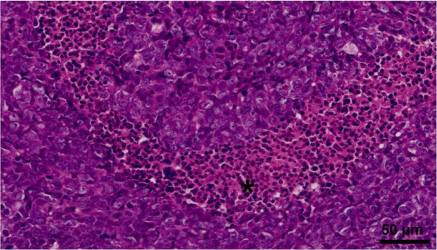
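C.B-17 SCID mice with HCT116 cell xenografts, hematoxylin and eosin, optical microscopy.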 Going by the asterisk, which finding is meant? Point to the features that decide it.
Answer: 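Tumor necrosis and inflammation. The asterisk lies among many small, dark, dense nuclei unlike the larger tumor nuclei around. The background there is pinker and the cell borders are lost.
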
